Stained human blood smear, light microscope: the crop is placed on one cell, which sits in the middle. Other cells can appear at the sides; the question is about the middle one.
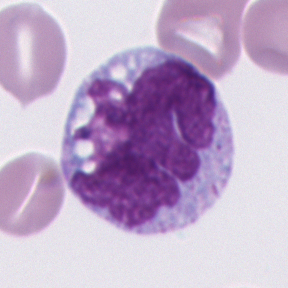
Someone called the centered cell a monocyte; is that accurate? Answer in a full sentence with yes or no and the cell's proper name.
Yes, the cell lying in the middle is a monocyte.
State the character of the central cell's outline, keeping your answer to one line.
Its outline is smooth, with no projections anywhere along the edge.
